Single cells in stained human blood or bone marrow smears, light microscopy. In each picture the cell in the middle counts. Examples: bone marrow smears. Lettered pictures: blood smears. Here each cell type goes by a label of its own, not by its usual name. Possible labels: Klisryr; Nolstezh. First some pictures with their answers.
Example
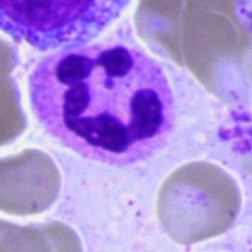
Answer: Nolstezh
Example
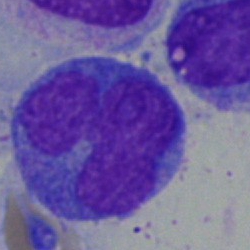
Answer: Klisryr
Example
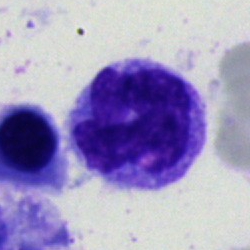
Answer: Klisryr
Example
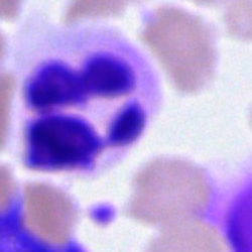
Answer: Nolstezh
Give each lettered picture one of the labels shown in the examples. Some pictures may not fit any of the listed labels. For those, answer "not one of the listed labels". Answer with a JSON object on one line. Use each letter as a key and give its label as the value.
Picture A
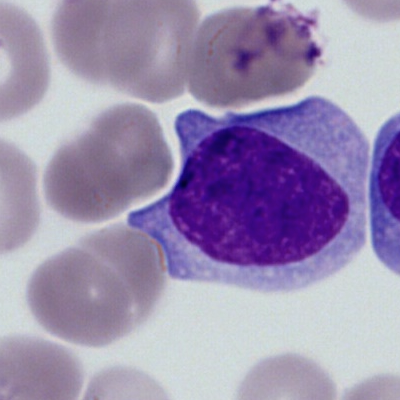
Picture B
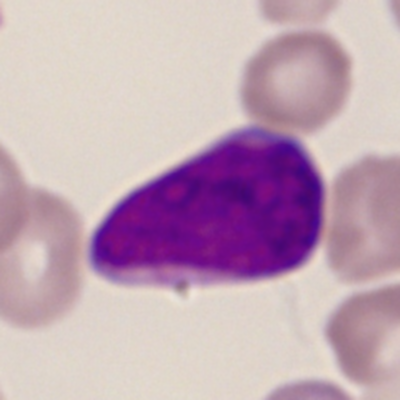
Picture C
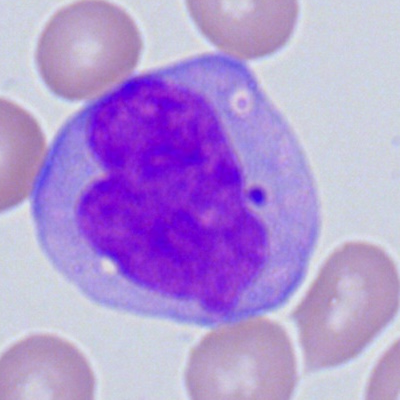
{"A": "not one of the listed labels", "B": "not one of the listed labels", "C": "Klisryr"}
